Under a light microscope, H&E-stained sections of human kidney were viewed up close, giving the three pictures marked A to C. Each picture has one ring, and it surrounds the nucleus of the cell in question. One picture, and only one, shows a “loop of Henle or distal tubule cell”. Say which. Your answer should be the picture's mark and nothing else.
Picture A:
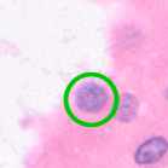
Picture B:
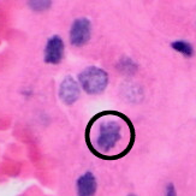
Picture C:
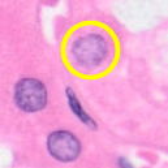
B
